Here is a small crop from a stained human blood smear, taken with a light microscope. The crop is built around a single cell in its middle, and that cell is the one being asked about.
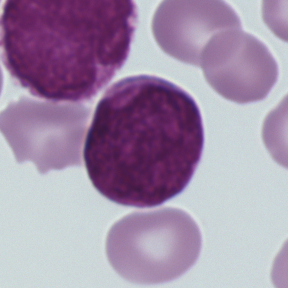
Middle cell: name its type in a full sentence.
The cell positioned in the middle of the field is a blast.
